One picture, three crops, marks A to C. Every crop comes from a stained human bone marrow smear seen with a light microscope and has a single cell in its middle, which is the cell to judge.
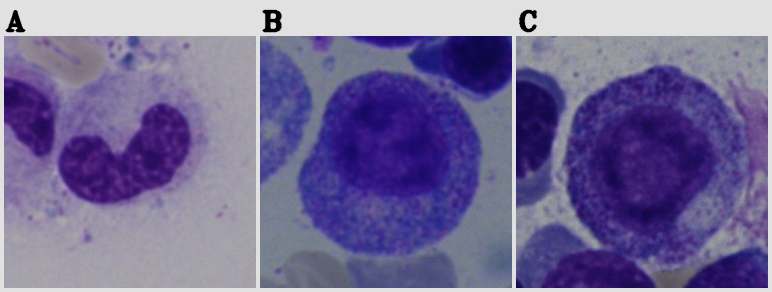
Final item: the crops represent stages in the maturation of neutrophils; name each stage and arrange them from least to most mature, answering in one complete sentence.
The crops, when placed from least to most mature, read crop C (a promyelocyte), crop B (a myelocyte) and crop A (a band neutrophil).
